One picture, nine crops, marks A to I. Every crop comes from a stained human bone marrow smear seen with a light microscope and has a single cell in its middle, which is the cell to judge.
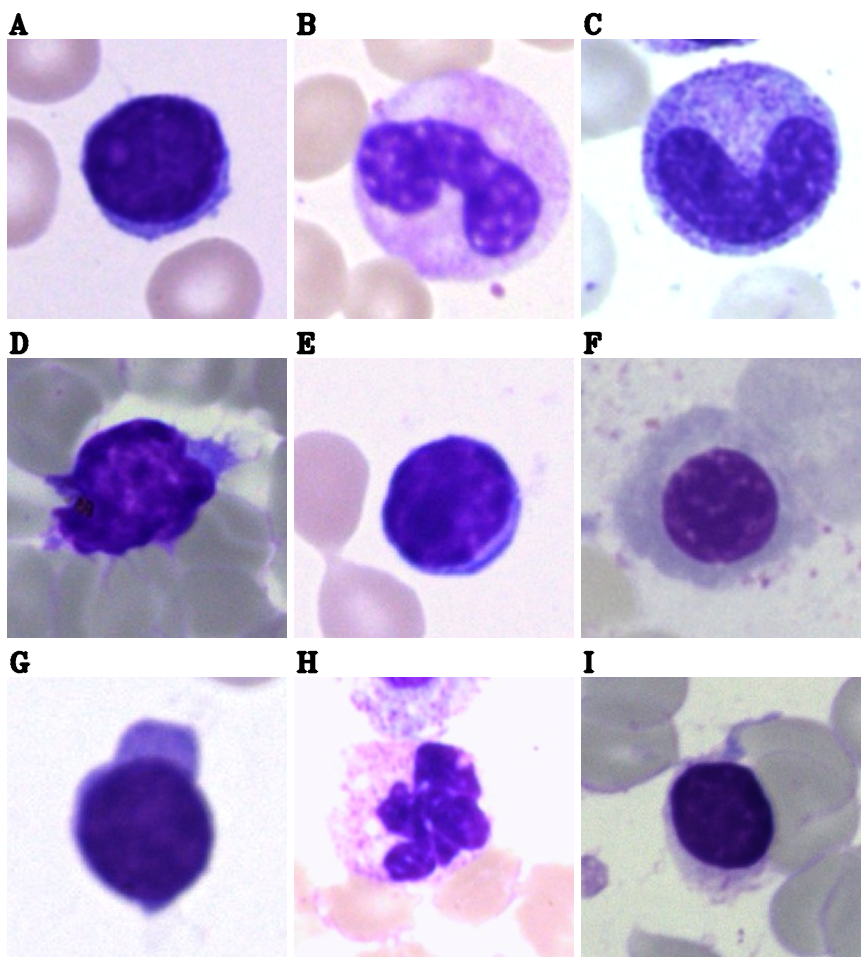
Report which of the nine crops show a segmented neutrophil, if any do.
B, H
